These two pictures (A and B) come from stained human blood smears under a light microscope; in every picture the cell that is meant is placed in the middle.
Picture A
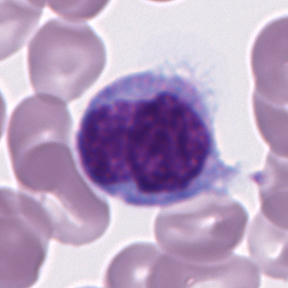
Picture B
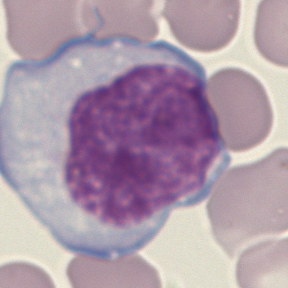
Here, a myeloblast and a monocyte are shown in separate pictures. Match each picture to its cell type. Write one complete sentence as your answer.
Picture A shows a monocyte and picture B shows a myeloblast.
